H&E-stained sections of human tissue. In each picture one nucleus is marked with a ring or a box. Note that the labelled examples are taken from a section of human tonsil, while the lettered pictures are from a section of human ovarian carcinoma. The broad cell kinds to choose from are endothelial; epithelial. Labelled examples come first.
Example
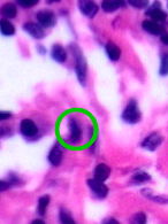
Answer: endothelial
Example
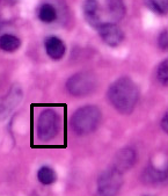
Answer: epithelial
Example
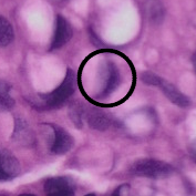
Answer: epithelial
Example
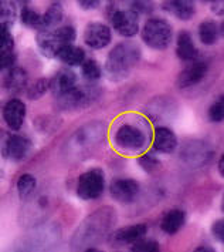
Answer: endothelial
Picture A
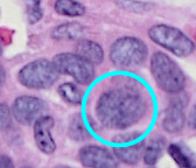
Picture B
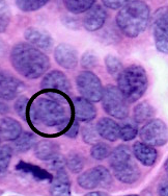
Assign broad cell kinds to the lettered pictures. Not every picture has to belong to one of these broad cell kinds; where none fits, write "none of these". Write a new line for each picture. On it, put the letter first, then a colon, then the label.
A: epithelial
B: epithelial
